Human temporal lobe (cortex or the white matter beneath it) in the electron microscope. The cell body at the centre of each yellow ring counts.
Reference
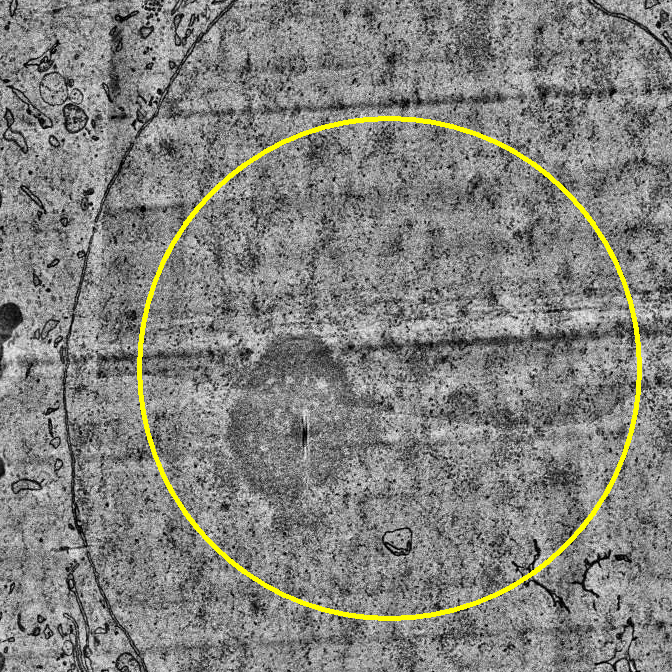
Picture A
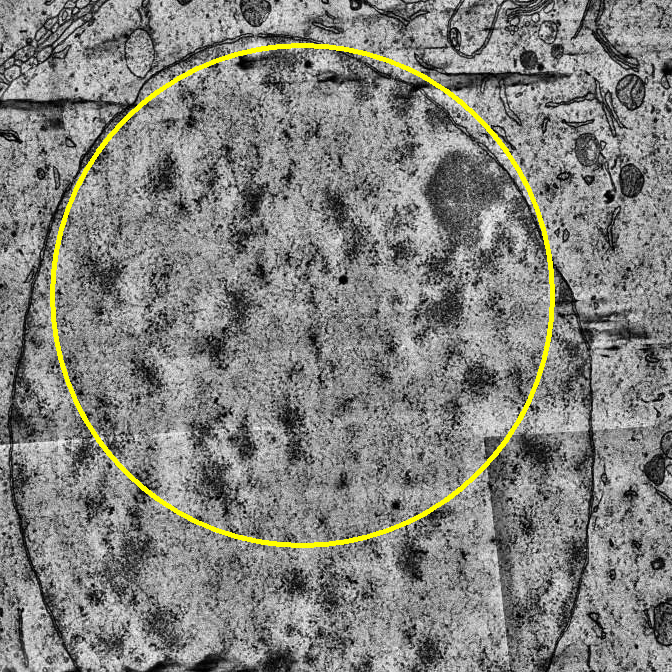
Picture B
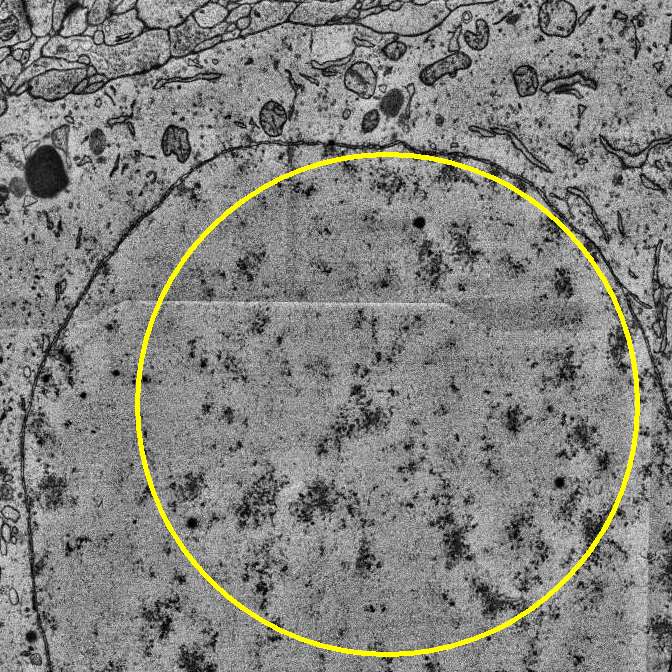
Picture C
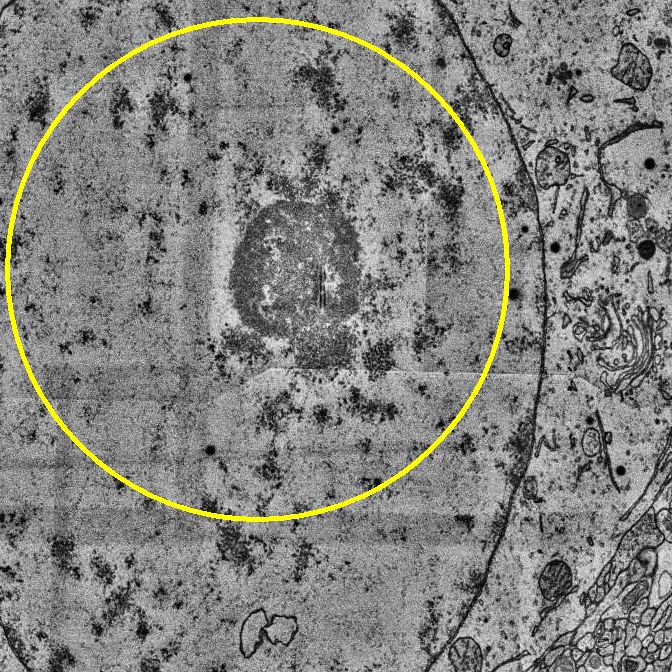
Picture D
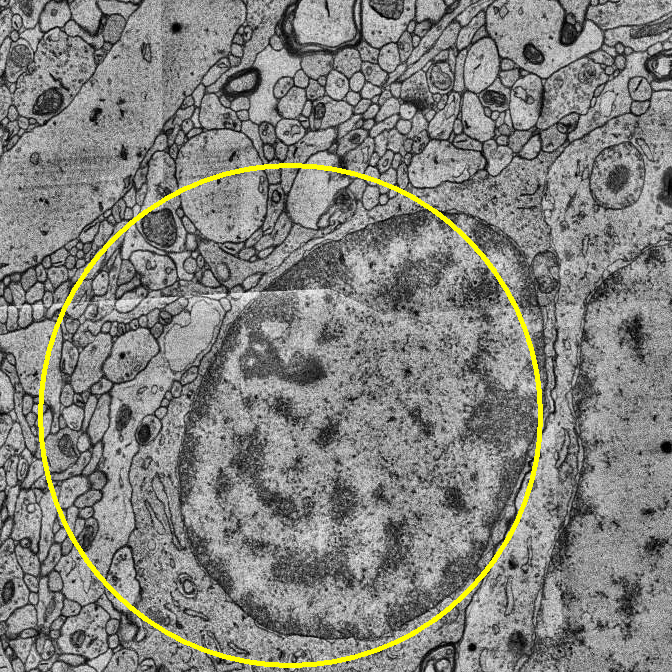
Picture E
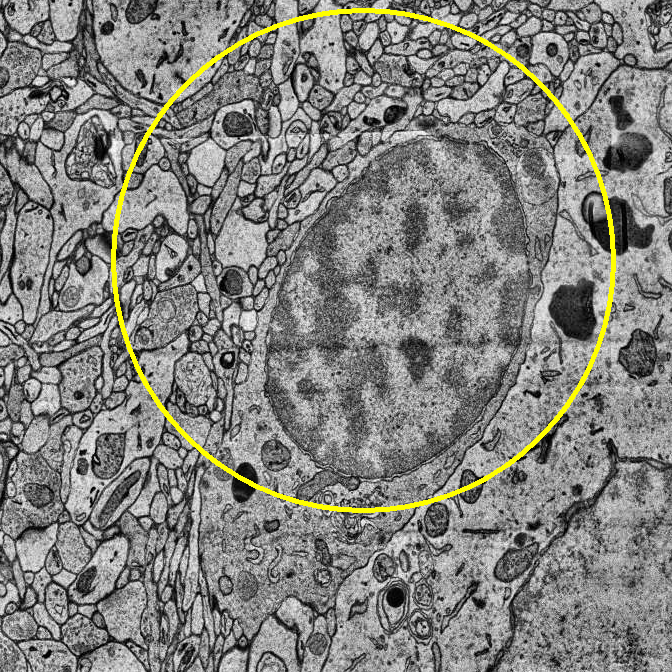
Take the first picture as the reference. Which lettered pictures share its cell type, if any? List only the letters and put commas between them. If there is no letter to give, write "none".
A, B, C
